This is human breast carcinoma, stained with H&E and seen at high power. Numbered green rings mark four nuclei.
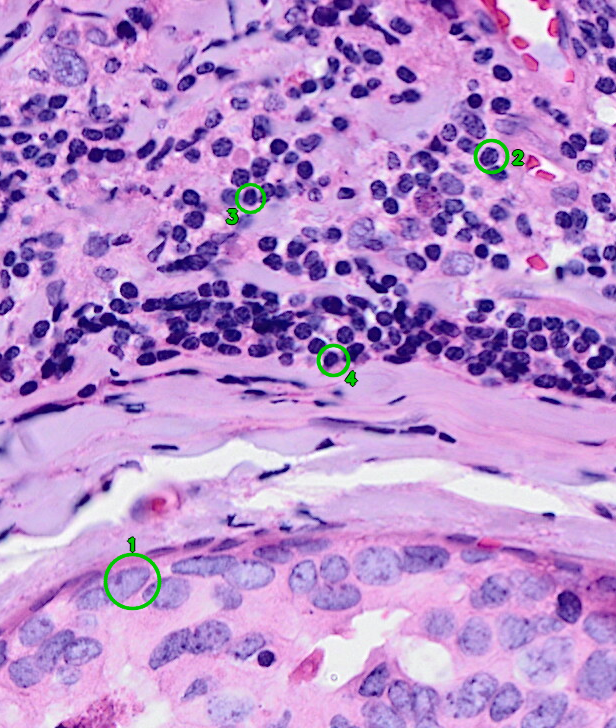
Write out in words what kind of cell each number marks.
Cell 1 is a carcinoma cell. Cells 2, 3 and 4 are lymphocytes.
